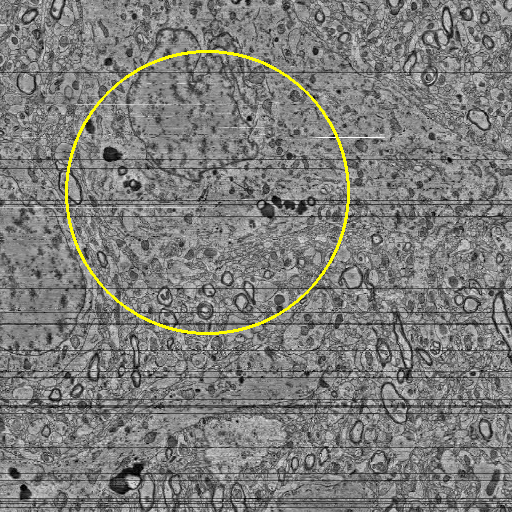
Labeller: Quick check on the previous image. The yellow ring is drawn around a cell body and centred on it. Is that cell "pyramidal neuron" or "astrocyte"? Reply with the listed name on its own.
pyramidal neuron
